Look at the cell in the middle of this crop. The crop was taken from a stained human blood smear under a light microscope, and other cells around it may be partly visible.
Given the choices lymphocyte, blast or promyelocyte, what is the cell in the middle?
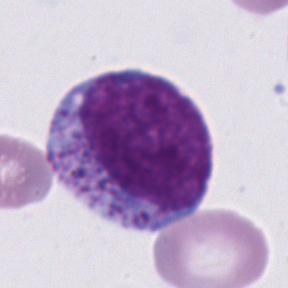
promyelocyte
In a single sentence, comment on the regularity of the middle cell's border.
You can see a smooth boundary, with no projections sticking out.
